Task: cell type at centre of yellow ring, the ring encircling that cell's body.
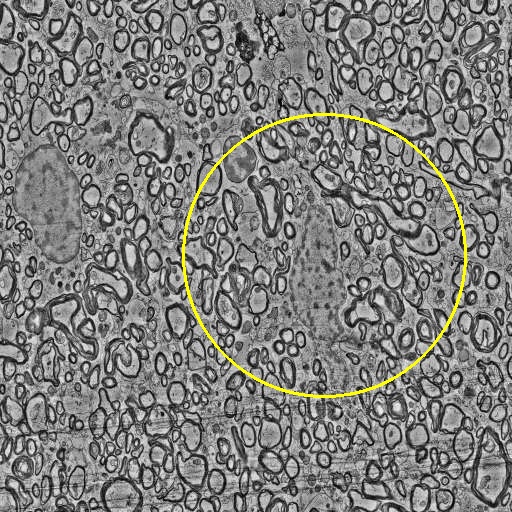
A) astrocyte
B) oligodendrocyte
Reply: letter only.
A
